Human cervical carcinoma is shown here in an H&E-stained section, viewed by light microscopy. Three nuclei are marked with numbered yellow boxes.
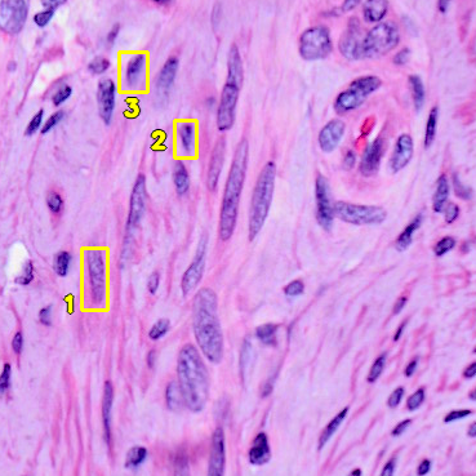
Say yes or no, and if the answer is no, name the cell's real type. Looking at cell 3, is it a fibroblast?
Yes.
